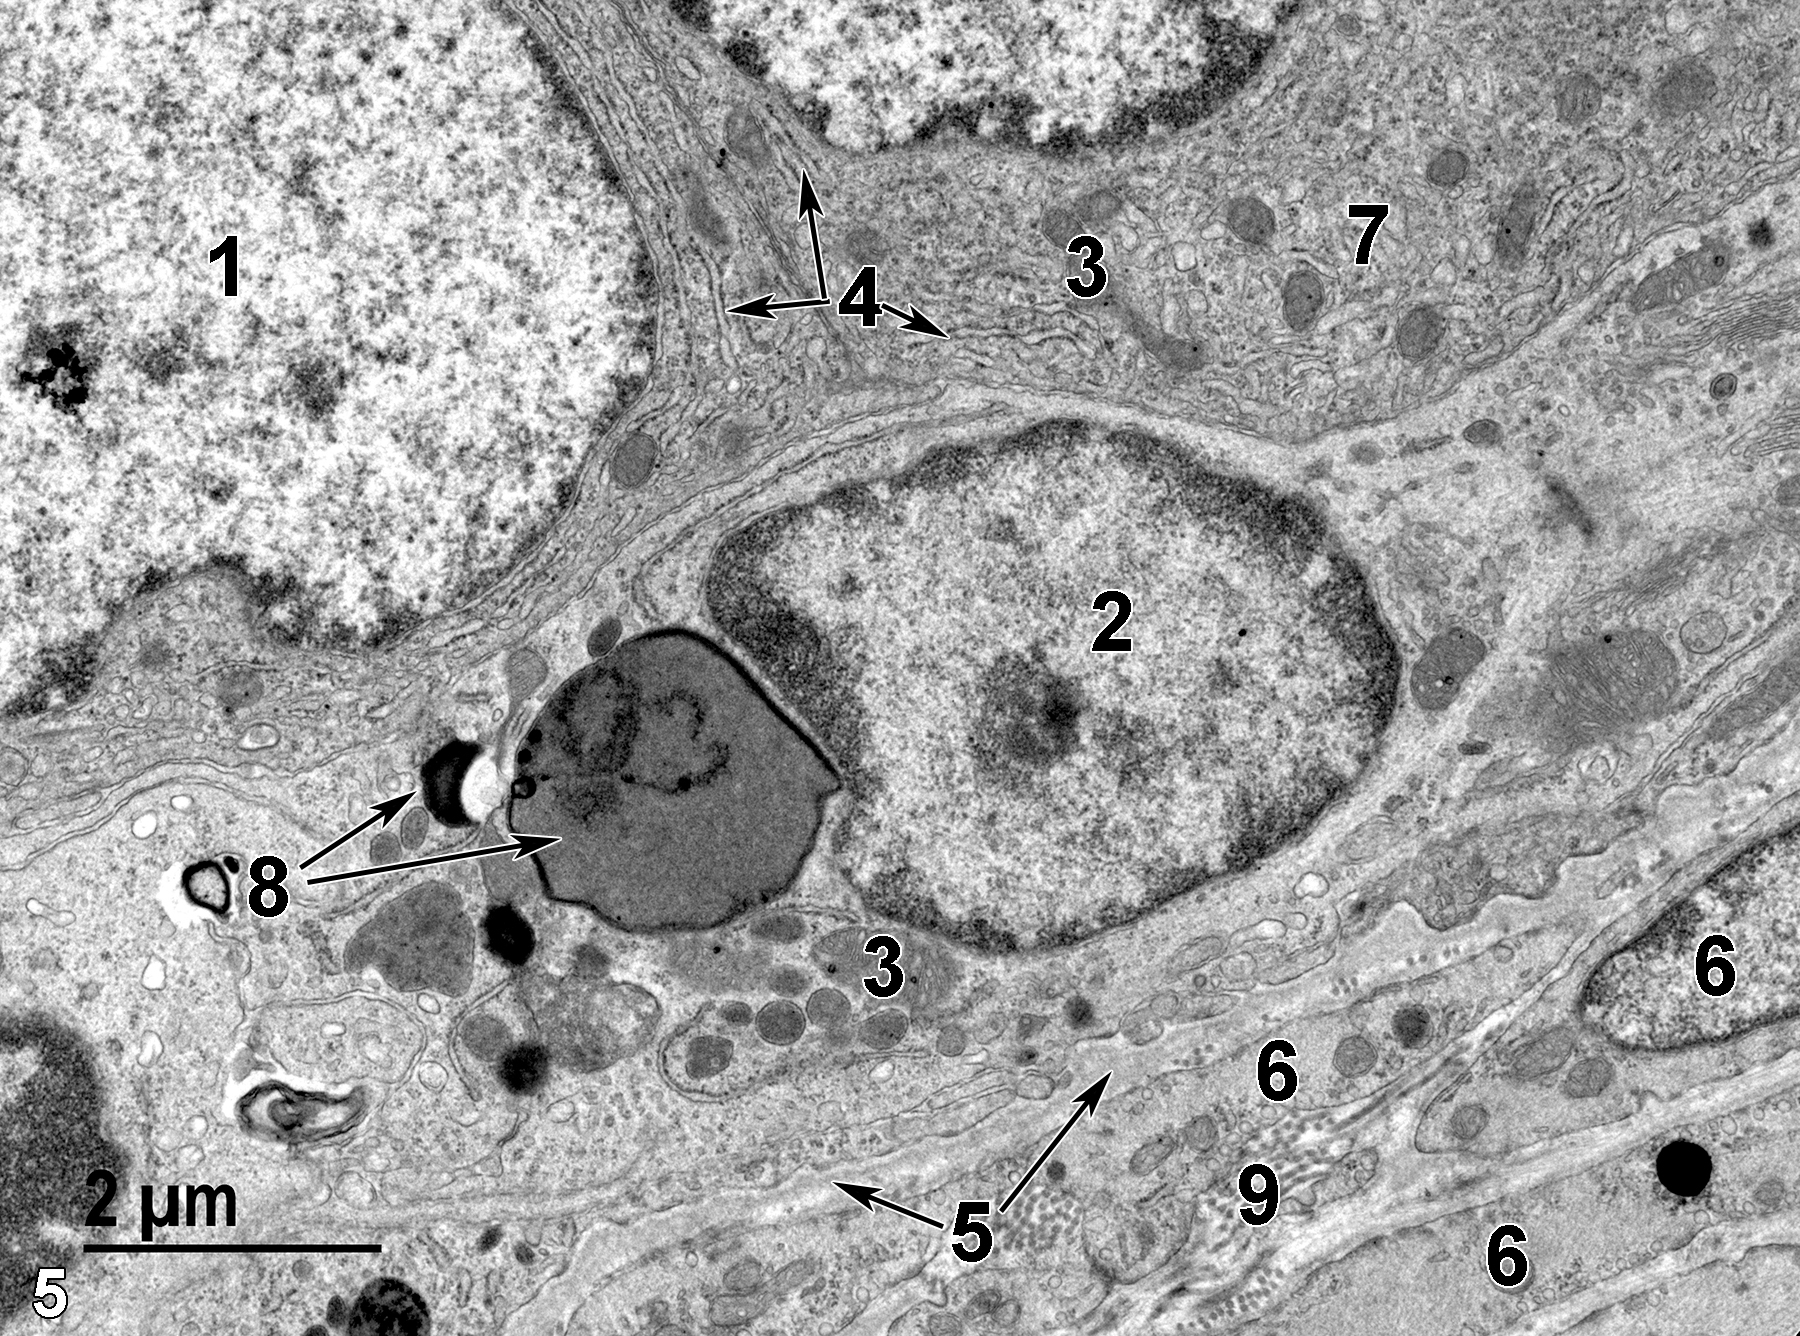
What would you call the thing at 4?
rough endoplasmic reticulum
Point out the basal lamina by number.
5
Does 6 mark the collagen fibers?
No. The smooth muscle cells.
